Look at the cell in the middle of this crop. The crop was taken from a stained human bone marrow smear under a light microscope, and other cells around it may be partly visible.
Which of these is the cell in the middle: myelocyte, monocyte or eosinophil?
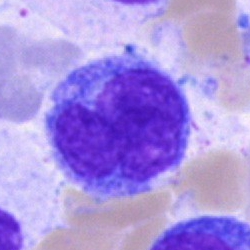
monocyte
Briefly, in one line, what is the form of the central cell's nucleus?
Between us, the nucleus here is just one compact mass, round, oval or kidney-shaped.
